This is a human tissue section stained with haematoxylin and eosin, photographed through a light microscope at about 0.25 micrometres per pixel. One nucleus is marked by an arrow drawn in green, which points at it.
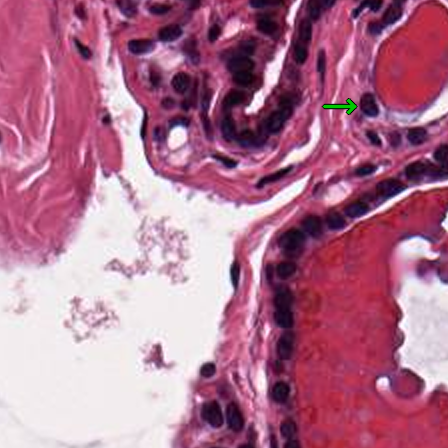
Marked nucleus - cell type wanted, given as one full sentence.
The nucleus bearing the mark belongs to a thyroid follicular cell.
